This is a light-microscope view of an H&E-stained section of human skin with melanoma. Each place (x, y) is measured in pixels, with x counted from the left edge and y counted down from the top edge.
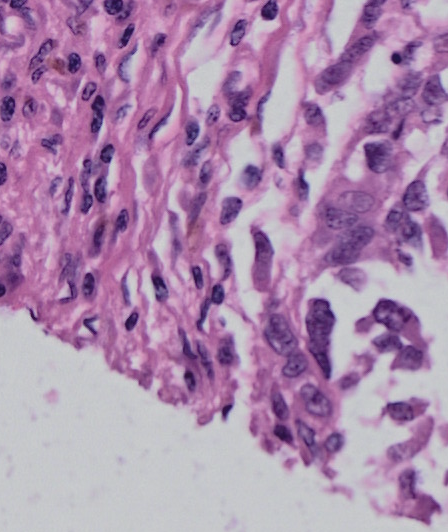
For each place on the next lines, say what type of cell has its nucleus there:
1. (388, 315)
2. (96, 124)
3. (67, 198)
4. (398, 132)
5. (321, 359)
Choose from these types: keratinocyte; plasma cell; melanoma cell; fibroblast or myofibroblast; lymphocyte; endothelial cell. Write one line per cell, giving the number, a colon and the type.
1: melanoma cell
2: plasma cell
3: fibroblast or myofibroblast
4: melanoma cell
5: melanoma cell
